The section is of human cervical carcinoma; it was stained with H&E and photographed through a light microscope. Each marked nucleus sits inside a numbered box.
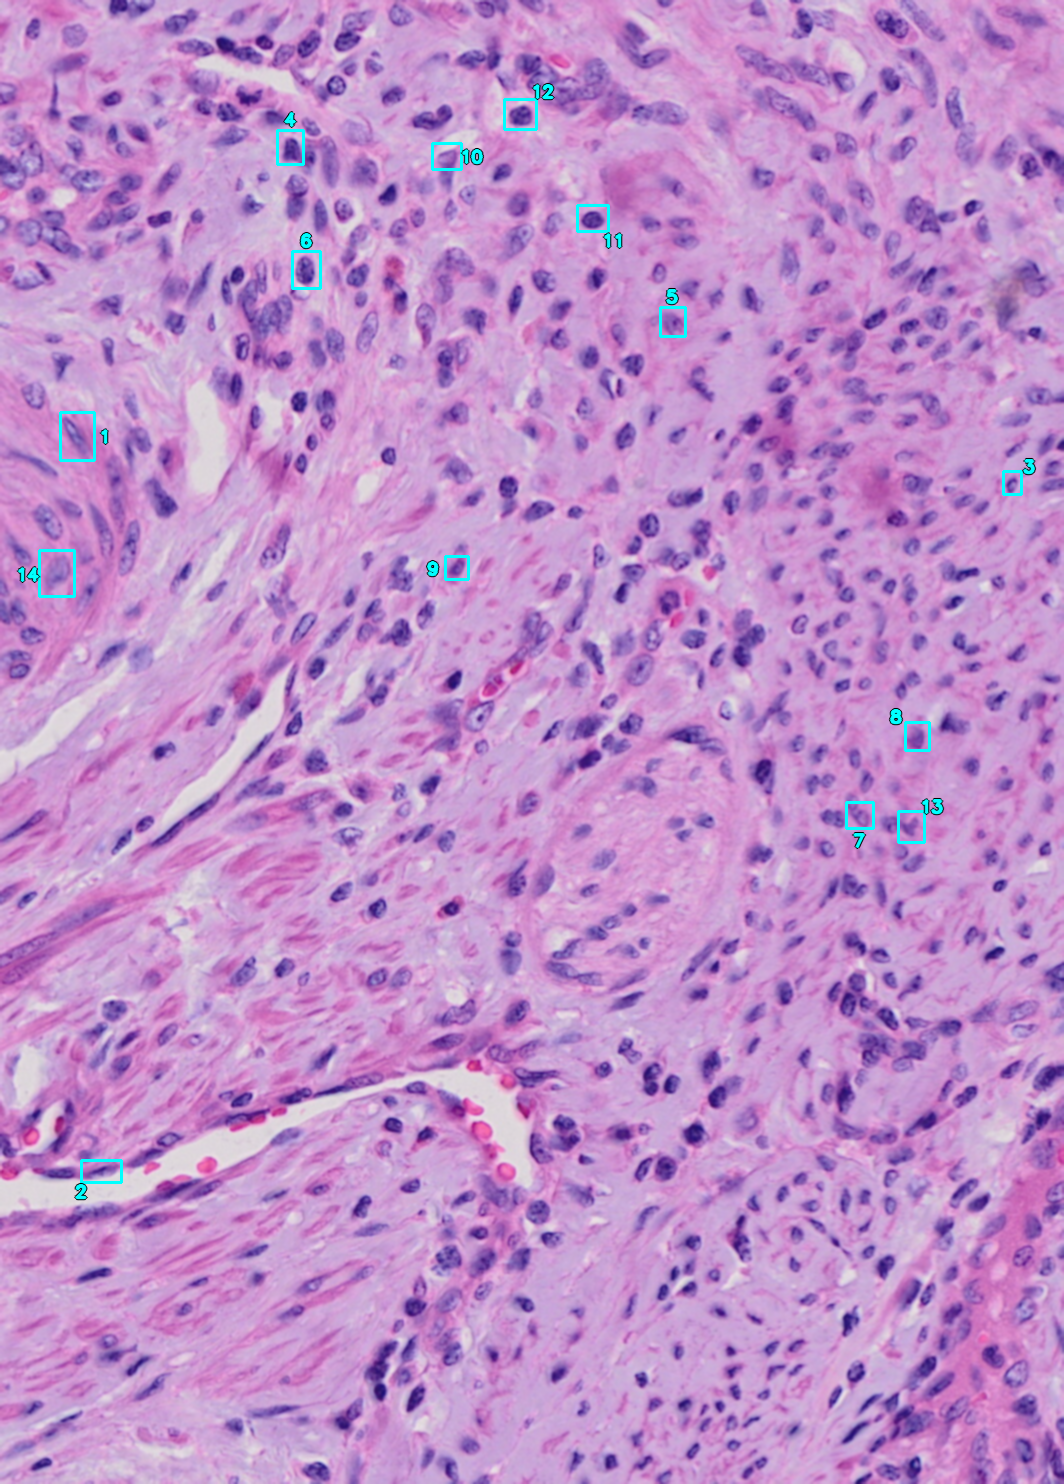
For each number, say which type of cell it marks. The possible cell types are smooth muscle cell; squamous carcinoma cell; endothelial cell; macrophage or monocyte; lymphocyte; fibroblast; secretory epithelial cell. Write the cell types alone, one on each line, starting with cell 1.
smooth muscle cell
endothelial cell
smooth muscle cell
lymphocyte
smooth muscle cell
lymphocyte
smooth muscle cell
smooth muscle cell
smooth muscle cell
macrophage or monocyte
lymphocyte
lymphocyte
smooth muscle cell
smooth muscle cell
